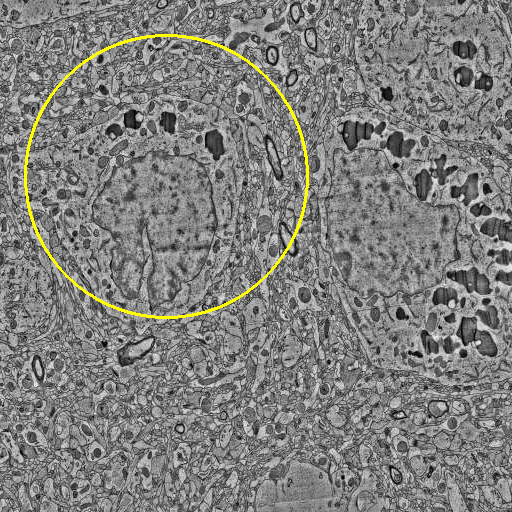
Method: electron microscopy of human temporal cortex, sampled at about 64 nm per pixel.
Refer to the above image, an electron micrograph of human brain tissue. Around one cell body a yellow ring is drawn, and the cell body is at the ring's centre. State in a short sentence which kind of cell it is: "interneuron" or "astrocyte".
The centre of the ring falls on an interneuron.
